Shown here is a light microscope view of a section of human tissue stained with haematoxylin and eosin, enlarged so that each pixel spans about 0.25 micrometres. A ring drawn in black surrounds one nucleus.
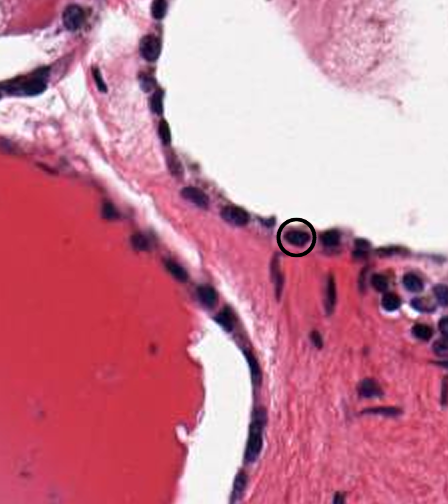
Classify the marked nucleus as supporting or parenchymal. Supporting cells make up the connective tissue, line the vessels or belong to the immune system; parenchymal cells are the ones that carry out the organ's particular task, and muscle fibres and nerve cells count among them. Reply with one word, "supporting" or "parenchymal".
parenchymal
